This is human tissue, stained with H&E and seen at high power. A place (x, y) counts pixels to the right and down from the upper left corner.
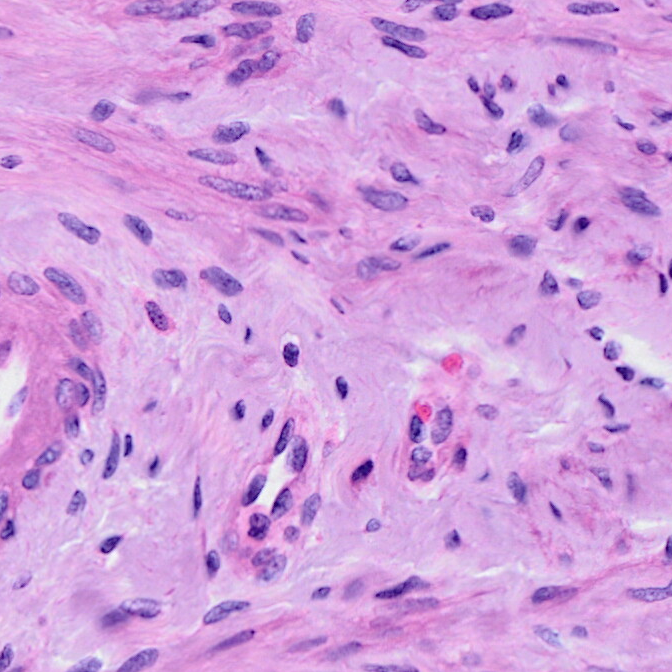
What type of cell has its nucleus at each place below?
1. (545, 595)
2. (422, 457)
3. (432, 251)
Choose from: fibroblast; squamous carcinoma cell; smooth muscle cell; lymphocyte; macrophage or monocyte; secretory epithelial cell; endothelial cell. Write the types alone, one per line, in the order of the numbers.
smooth muscle cell
endothelial cell
fibroblast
